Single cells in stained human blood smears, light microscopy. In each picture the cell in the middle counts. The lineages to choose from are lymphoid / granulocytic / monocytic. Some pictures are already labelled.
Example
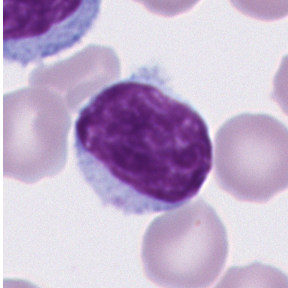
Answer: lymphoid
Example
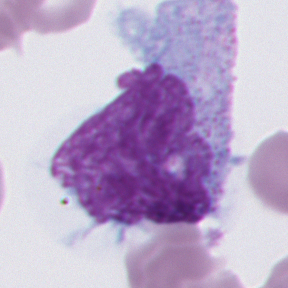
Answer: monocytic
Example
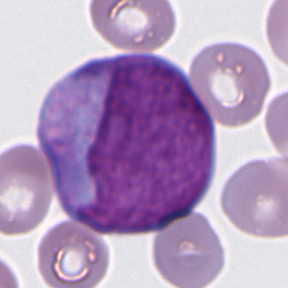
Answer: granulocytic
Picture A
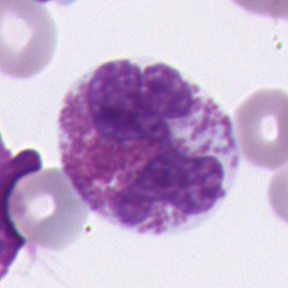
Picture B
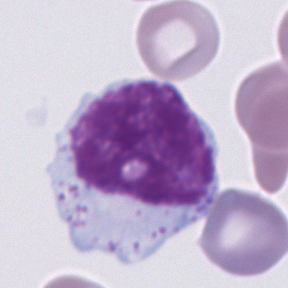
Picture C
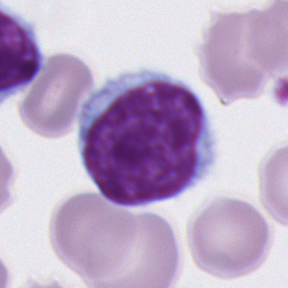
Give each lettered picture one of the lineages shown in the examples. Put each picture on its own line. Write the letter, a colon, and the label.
A: granulocytic
B: lymphoid
C: lymphoid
